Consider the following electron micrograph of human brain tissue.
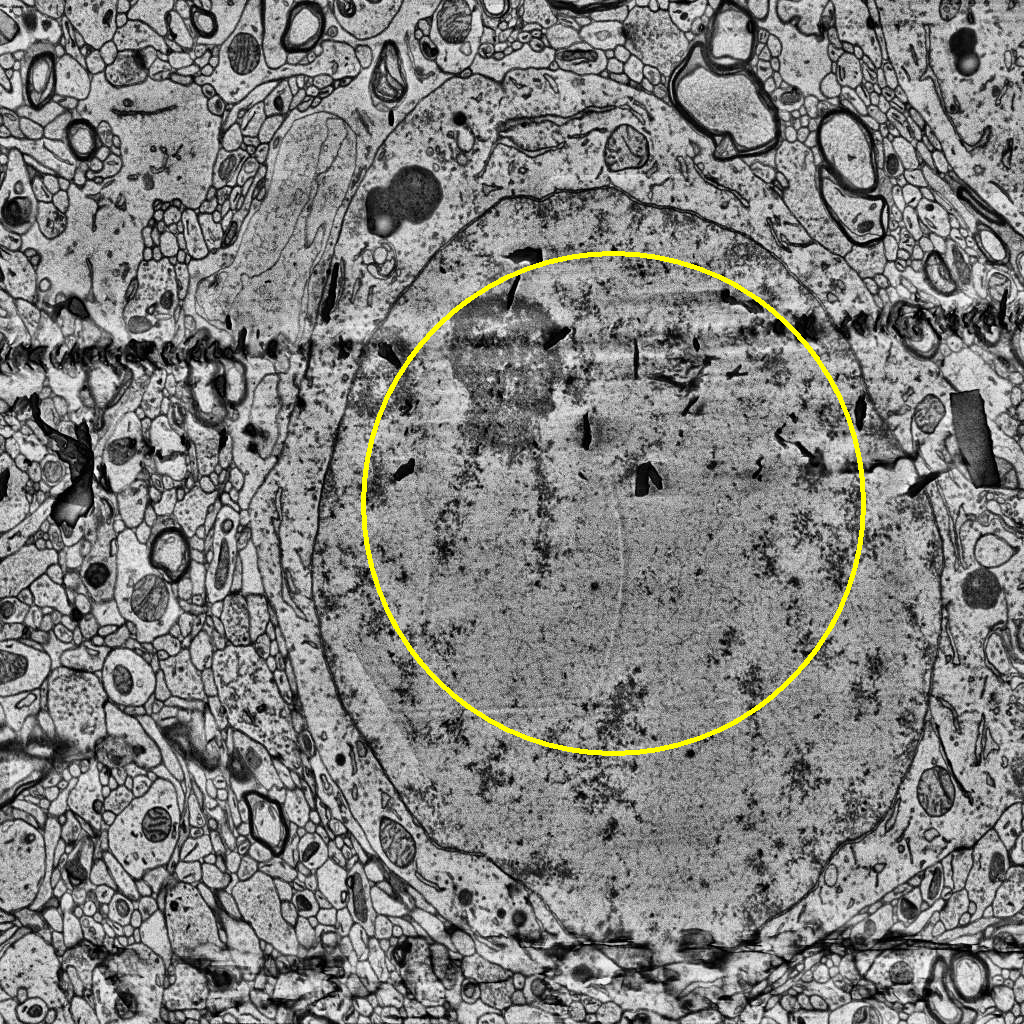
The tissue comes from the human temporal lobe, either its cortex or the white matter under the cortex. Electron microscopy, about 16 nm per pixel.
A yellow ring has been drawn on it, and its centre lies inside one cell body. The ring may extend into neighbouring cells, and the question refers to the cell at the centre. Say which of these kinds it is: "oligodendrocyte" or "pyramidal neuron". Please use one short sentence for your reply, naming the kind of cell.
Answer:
The centre of the ring falls on a pyramidal neuron.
